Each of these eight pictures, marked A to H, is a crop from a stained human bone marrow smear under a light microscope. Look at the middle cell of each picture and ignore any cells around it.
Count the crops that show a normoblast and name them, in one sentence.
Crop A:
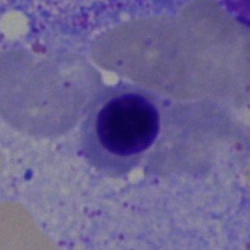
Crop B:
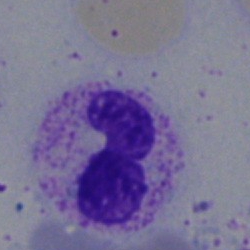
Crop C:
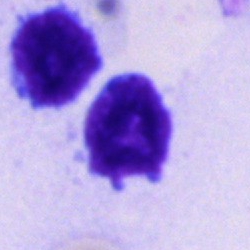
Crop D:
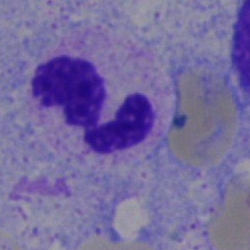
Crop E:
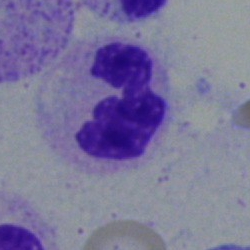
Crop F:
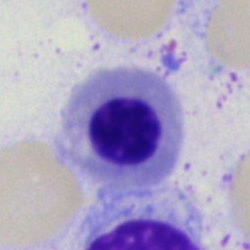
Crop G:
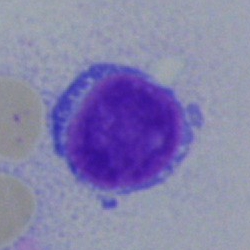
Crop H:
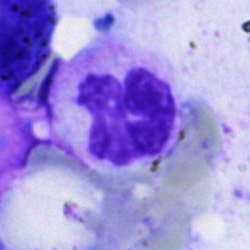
Crops labelled A and F show normoblasts, which makes two crops.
